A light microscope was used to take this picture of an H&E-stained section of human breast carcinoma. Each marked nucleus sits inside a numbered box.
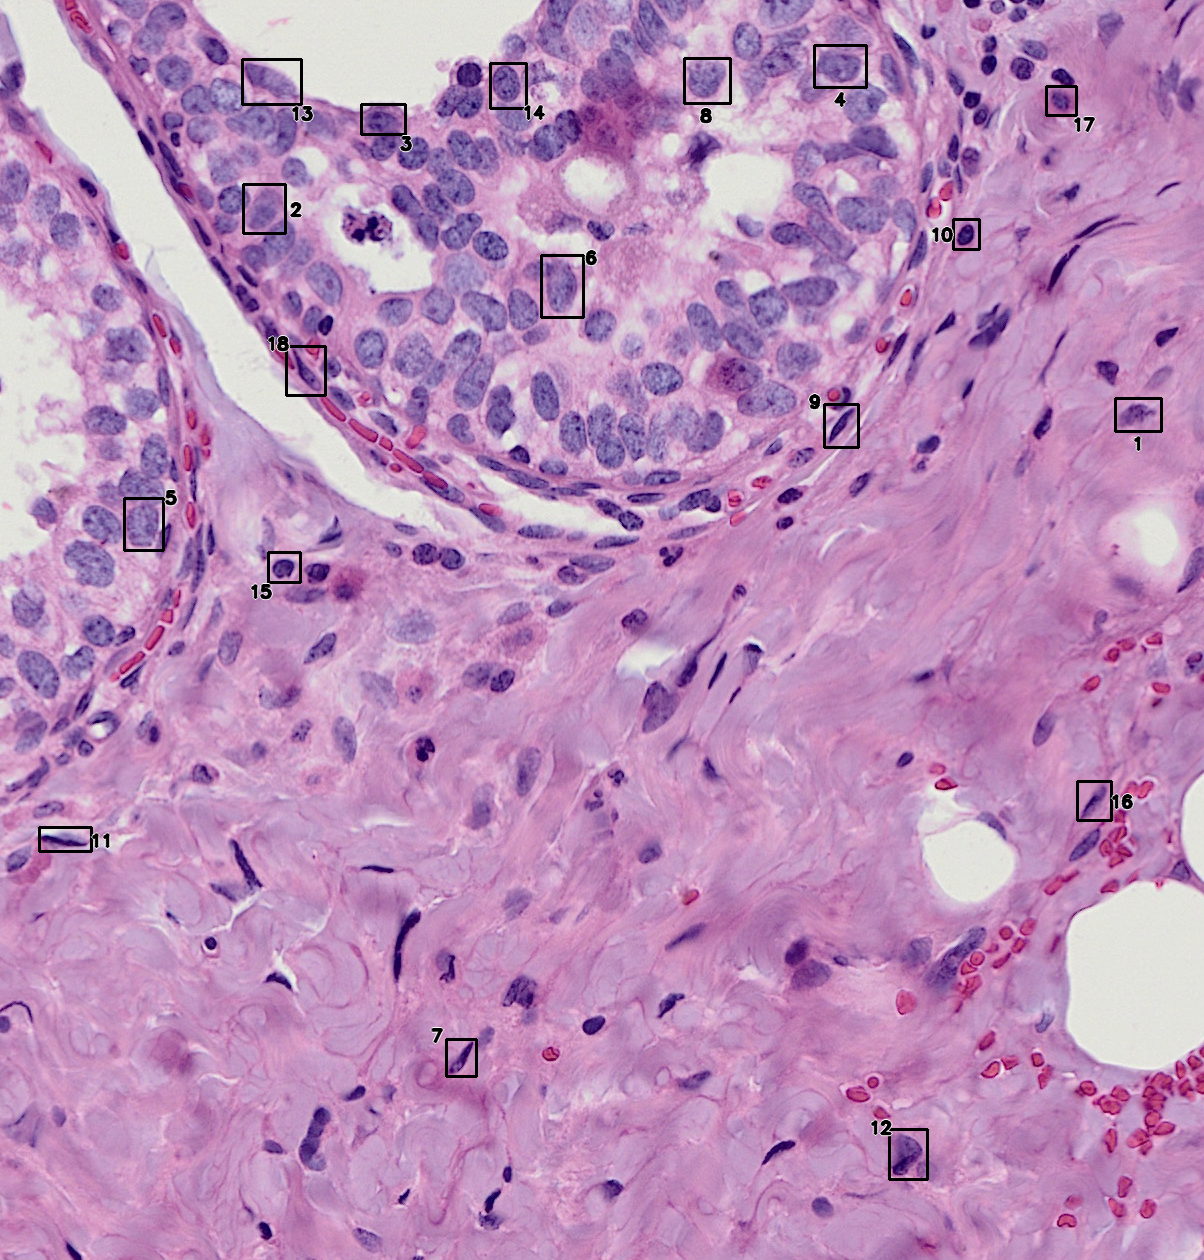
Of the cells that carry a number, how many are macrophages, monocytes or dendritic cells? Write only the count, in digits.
0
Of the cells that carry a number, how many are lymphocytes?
1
